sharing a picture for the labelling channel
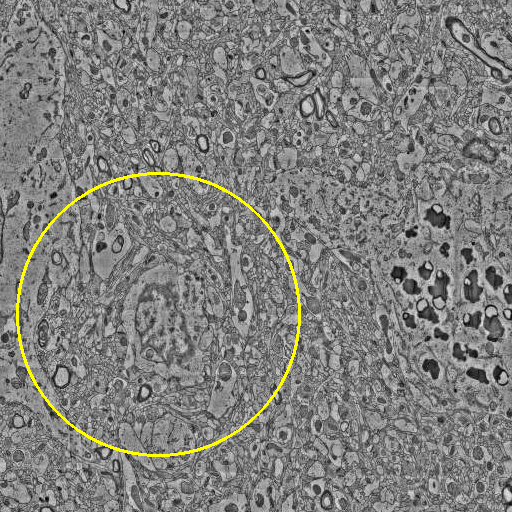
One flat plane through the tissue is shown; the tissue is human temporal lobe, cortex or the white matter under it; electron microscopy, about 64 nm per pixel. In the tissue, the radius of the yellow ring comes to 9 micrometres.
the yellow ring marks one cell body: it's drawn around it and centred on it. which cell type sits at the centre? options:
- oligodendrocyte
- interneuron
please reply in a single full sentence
In the picture, the cell at the ring's centre is an interneuron, going by the list.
